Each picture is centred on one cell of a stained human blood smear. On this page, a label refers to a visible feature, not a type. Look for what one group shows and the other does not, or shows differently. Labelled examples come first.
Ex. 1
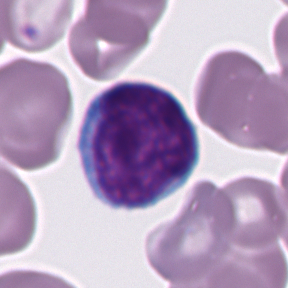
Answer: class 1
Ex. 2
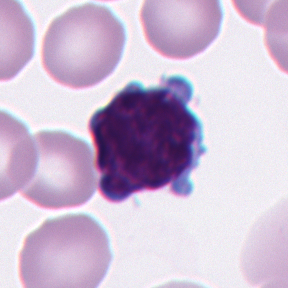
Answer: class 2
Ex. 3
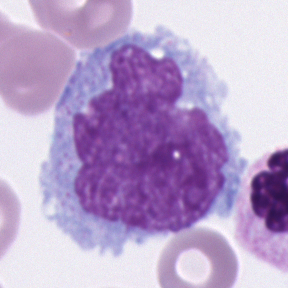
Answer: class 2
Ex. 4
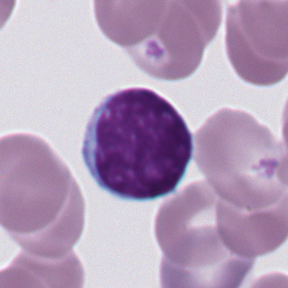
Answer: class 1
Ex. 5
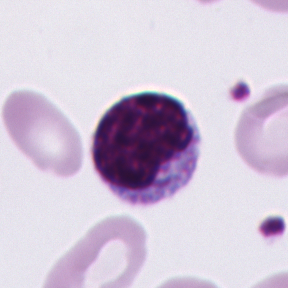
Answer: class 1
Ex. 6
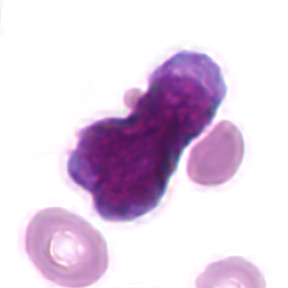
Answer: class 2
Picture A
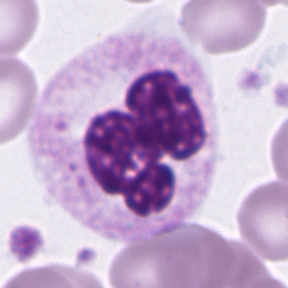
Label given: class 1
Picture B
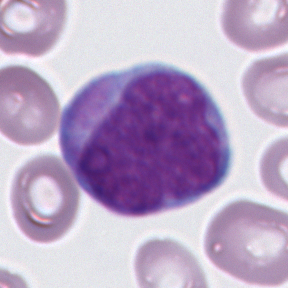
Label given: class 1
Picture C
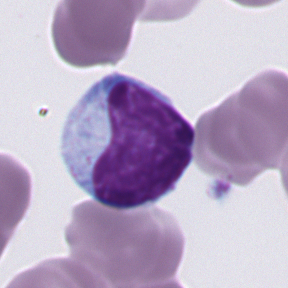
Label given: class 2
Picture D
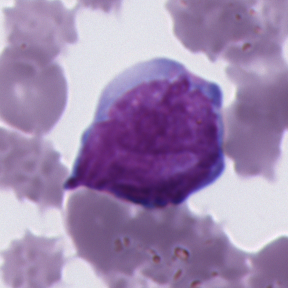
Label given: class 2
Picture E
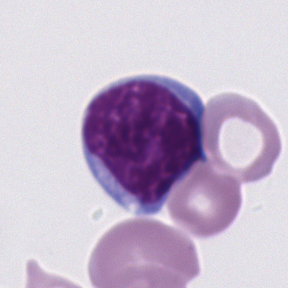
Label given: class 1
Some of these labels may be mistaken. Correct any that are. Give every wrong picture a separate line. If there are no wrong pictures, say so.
C: class 1, not class 2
